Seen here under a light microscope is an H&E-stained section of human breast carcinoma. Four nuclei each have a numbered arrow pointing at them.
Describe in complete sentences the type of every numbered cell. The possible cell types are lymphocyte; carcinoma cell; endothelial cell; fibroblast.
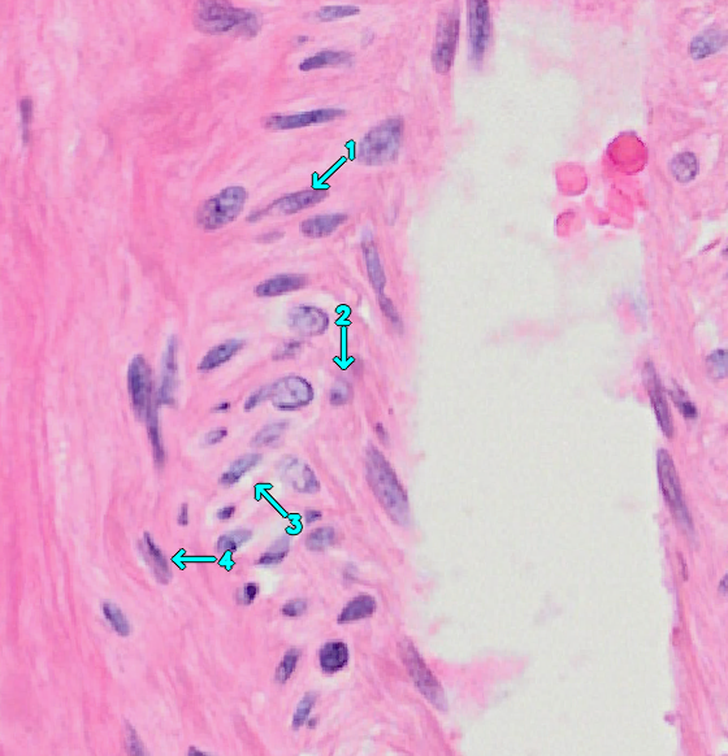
Cells 1, 2 and 3 are endothelial cells. Cell 4 is a fibroblast.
